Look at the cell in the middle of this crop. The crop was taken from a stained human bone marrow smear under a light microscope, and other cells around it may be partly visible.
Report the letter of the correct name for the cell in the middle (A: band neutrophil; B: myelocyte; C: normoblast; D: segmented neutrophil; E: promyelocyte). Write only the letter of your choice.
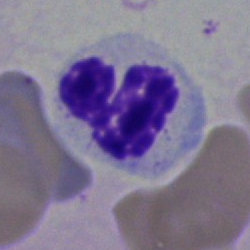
D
